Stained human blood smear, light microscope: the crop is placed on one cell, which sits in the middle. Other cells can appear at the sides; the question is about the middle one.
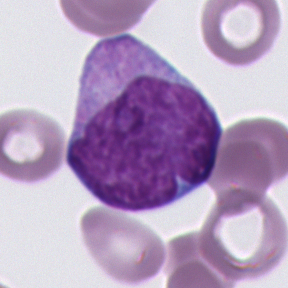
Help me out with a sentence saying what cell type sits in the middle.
The centrally located cell in the crop is an atypical promyelocyte.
